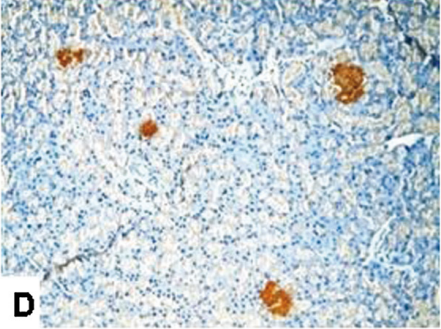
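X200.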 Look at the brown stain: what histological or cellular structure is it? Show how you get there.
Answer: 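Several small round brown-stained cell clusters. They are scattered within blue-counterstained glandular tissue.
Islets.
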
